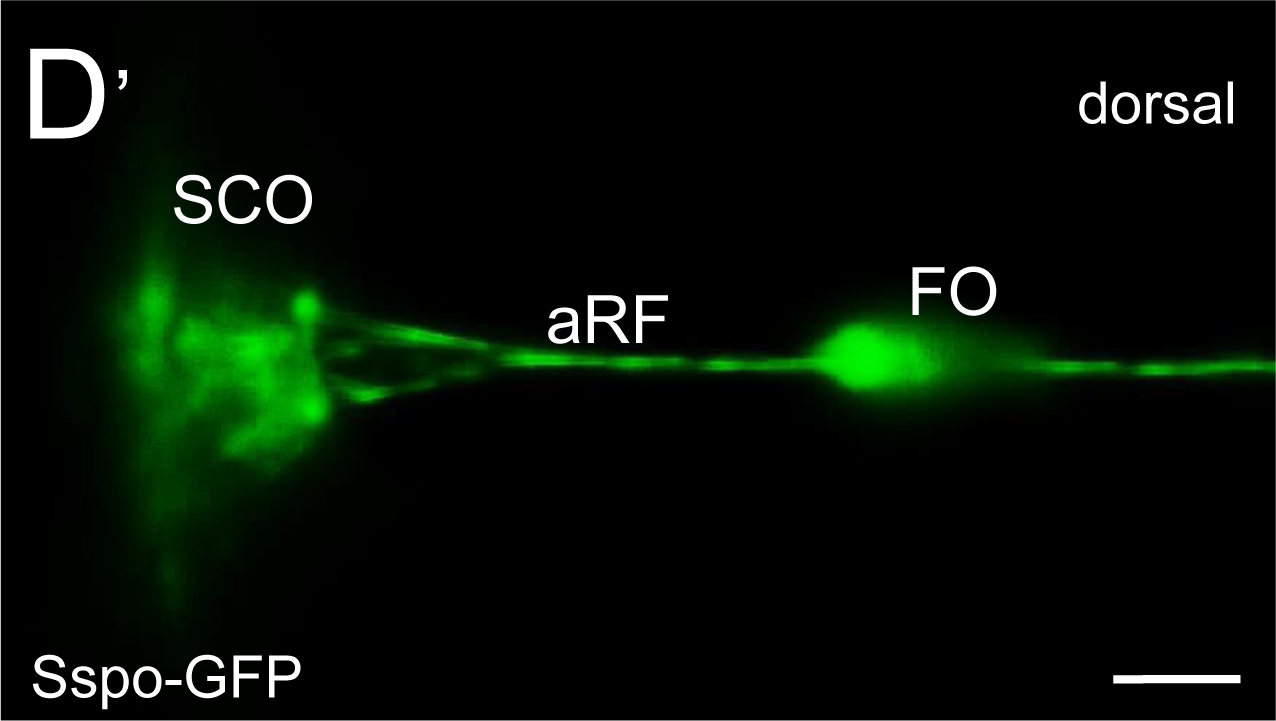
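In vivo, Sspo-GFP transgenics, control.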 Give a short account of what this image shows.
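A patchy green cluster on the left gives off fine converging strands that join into a thin, beaded green thread. The thread runs right into a small bright oval body and continues past it.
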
